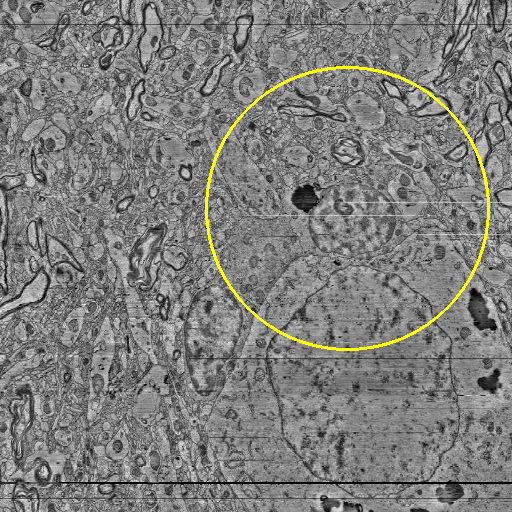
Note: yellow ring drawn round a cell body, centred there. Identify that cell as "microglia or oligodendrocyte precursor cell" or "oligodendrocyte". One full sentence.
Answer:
The cell in the middle of the ring is an oligodendrocyte.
